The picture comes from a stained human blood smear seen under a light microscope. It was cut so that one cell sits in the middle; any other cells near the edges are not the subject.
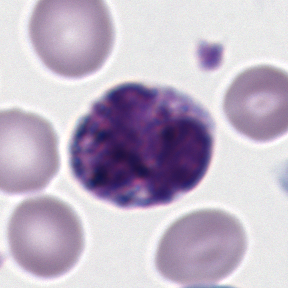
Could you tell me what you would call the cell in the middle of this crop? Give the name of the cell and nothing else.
basophil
